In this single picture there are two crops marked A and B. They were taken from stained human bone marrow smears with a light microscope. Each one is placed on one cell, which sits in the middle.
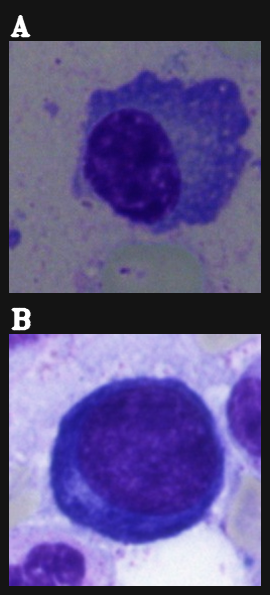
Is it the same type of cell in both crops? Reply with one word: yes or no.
no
